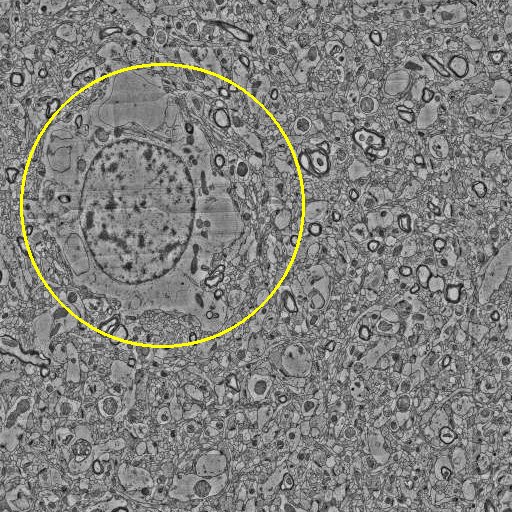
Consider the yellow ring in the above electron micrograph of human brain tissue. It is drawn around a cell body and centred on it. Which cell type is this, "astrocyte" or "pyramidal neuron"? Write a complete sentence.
The cell in question is an astrocyte.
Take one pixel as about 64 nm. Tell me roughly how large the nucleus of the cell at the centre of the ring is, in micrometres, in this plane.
In this plane the nucleus is about 9 micrometres by 7.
